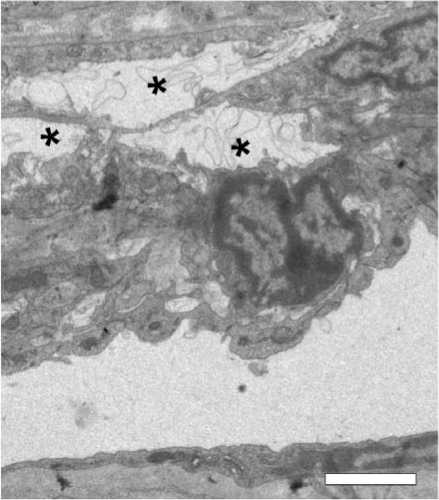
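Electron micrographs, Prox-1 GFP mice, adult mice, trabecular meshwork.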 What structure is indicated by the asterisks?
Intertrabecular spaces.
